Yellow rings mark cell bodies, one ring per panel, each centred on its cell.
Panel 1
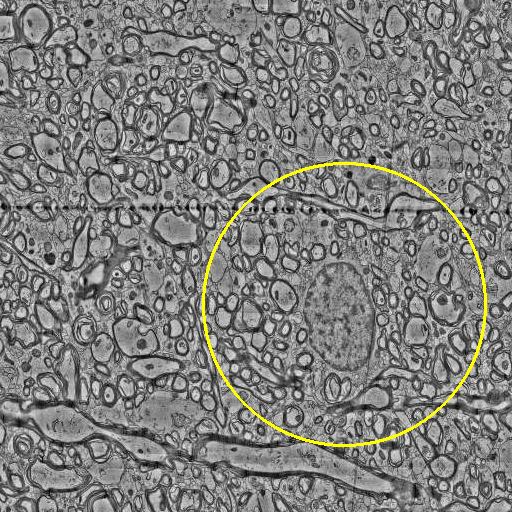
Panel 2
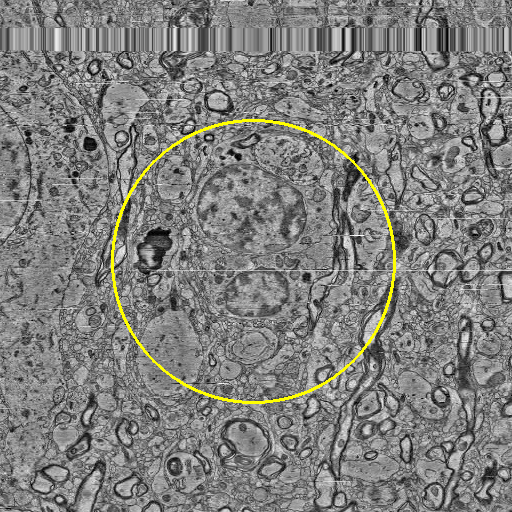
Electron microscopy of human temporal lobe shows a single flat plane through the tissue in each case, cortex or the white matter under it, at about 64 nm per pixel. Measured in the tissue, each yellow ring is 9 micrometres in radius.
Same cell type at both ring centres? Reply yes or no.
yes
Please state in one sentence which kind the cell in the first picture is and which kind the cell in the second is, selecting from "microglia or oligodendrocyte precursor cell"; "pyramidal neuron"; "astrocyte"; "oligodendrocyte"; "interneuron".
In both pictures the ring is centred on an oligodendrocyte.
